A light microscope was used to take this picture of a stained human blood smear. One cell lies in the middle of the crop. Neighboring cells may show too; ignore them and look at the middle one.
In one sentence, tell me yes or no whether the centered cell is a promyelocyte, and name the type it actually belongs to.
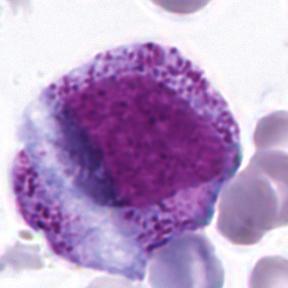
Yes, this crop has a promyelocyte at its centre.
